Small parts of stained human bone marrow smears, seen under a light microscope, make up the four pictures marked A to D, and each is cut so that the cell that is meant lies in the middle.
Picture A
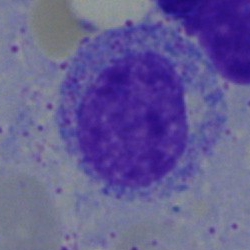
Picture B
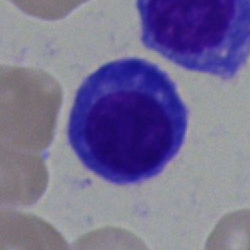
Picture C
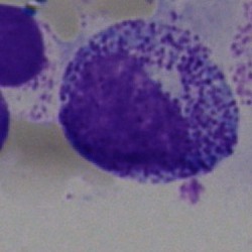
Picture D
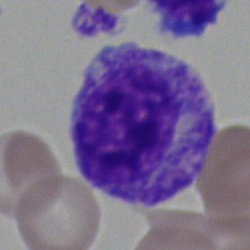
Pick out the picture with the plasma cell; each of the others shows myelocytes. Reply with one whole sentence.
The plasma cell is the one in picture B.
